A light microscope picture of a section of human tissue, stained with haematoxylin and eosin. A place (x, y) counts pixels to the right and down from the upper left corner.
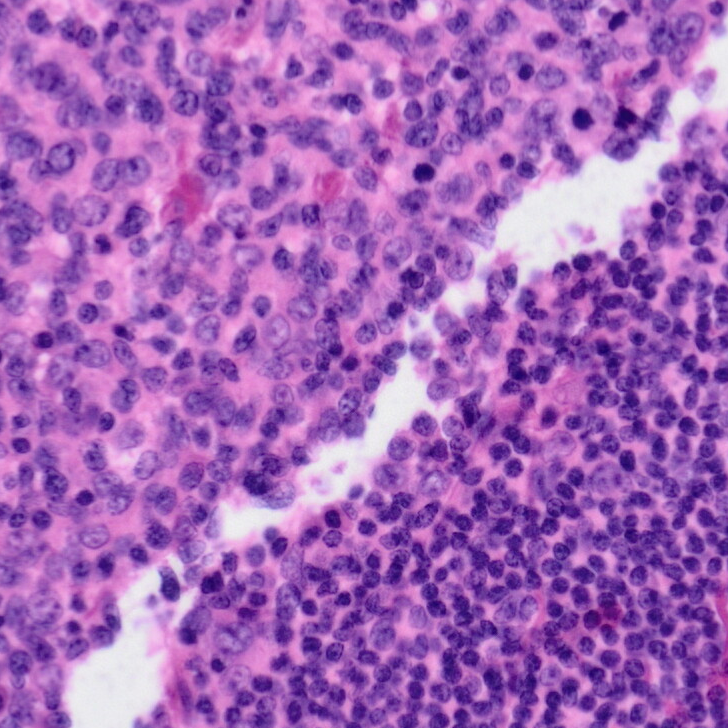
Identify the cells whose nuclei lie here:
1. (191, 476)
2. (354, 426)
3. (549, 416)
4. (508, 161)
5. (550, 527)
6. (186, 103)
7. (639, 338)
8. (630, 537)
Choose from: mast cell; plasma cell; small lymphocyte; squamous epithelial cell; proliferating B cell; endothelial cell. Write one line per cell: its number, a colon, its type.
1: proliferating B cell
2: proliferating B cell
3: endothelial cell
4: proliferating B cell
5: small lymphocyte
6: proliferating B cell
7: small lymphocyte
8: small lymphocyte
